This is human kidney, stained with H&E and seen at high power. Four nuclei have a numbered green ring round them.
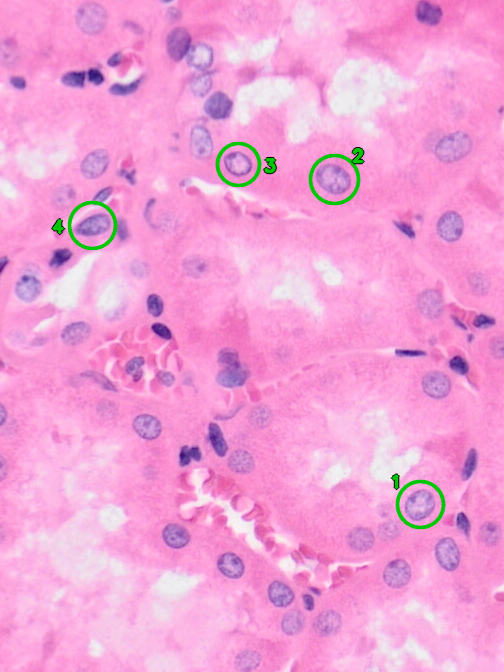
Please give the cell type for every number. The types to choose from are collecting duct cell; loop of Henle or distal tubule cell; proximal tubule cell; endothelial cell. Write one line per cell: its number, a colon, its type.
1: proximal tubule cell
2: proximal tubule cell
3: proximal tubule cell
4: collecting duct cell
